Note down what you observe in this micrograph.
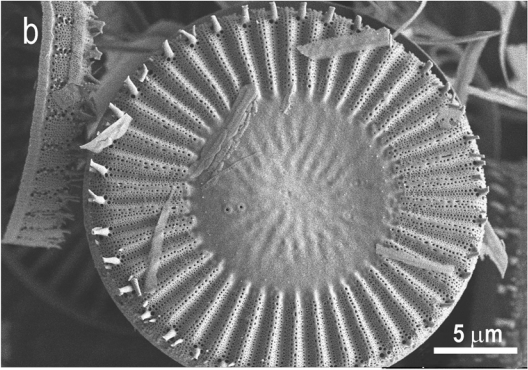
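This is the outer face of a valve of a centric diatom, a round silica disc seen from outside. The outer ring is divided by many radial ribs, and the grooves between them are pierced by rows of tiny pores. Short spines stick out at intervals along the rim. Fragments of other frustules and thin bands lie around it in the background.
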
